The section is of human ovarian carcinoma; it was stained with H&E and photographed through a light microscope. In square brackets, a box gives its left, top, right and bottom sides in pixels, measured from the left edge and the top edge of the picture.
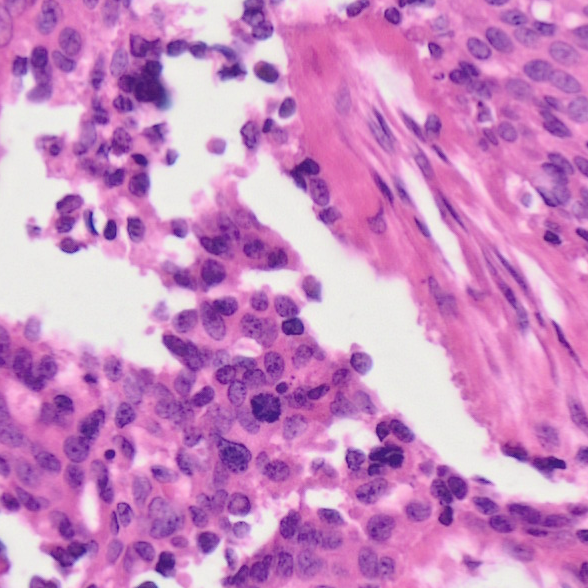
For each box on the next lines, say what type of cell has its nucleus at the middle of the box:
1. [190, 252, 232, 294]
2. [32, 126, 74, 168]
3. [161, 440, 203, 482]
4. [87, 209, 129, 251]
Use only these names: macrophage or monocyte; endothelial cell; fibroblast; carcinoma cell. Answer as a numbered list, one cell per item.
1. carcinoma cell
2. macrophage or monocyte
3. carcinoma cell
4. macrophage or monocyte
